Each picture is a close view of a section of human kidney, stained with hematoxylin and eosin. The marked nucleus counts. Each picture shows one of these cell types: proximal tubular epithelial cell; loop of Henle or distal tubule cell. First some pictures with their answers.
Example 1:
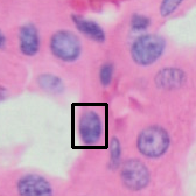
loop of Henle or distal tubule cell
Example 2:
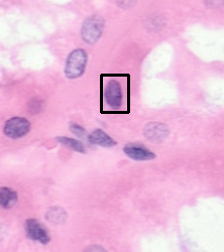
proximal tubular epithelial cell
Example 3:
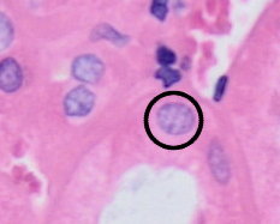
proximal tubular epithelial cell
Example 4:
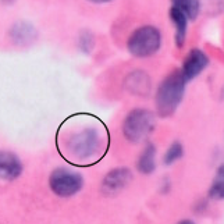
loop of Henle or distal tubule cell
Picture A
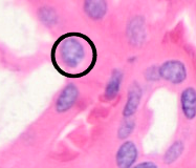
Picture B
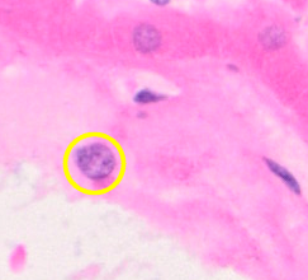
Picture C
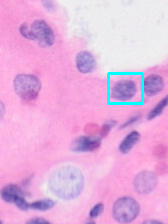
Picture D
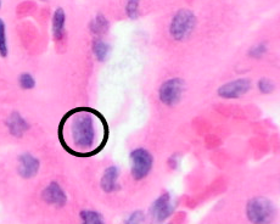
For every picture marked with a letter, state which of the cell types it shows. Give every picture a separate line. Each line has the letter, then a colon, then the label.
A: loop of Henle or distal tubule cell
B: proximal tubular epithelial cell
C: loop of Henle or distal tubule cell
D: loop of Henle or distal tubule cell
